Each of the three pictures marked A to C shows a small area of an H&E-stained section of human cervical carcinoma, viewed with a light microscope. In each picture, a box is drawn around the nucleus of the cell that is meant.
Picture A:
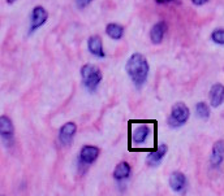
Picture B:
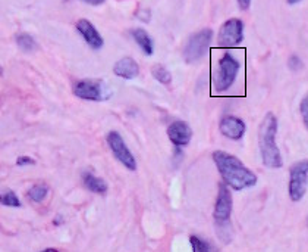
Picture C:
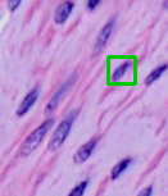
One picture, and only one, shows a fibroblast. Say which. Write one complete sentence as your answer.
It is picture B that shows the fibroblast.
